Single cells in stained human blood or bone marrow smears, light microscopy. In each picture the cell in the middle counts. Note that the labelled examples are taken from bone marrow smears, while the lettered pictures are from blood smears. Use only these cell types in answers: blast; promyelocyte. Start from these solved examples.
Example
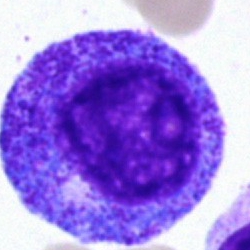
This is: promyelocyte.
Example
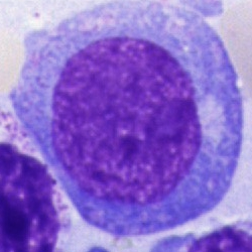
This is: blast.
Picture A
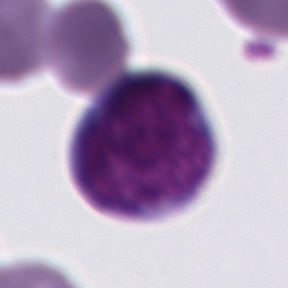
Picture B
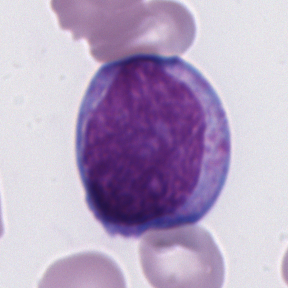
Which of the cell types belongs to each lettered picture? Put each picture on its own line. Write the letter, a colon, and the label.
A: blast.
B: promyelocyte.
